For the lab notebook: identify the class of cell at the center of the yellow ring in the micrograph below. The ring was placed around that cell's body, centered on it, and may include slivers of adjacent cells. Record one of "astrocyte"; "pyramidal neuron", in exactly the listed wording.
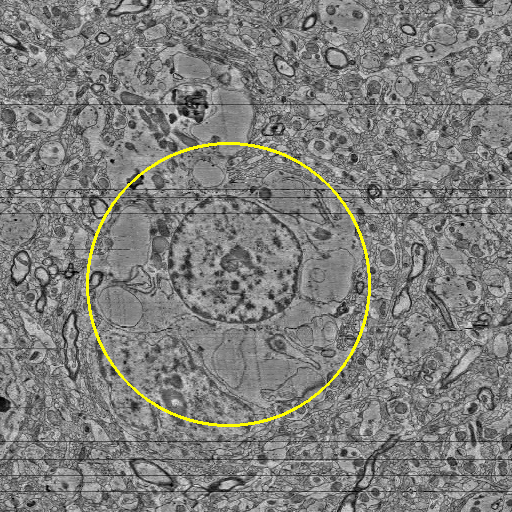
astrocyte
